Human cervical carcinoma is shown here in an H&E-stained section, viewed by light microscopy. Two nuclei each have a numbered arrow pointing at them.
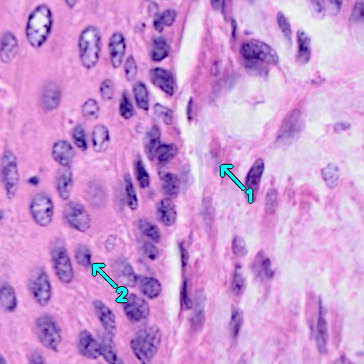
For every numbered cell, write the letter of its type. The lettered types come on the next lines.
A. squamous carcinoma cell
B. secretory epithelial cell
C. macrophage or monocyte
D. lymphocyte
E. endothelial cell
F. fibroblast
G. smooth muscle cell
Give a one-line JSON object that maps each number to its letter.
{"1": "F", "2": "A"}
